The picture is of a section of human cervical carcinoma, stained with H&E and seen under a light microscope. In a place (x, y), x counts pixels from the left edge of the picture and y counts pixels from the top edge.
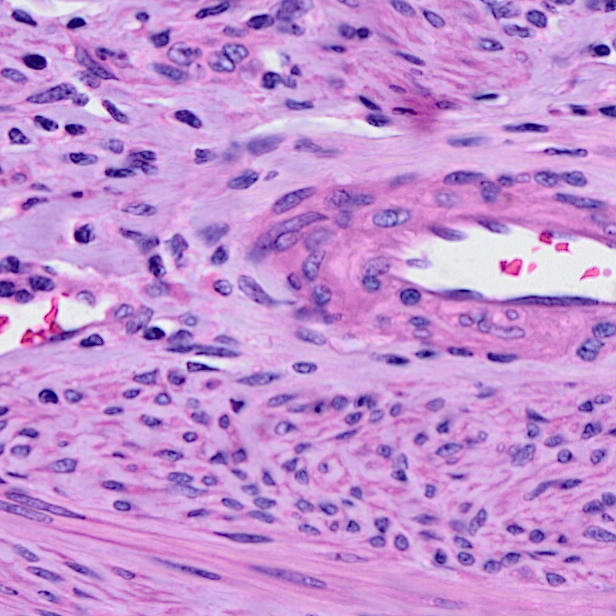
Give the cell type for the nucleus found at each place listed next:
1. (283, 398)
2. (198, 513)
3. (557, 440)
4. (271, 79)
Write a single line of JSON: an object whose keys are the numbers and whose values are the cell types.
{"1": "smooth muscle cell", "2": "smooth muscle cell", "3": "smooth muscle cell", "4": "lymphocyte"}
